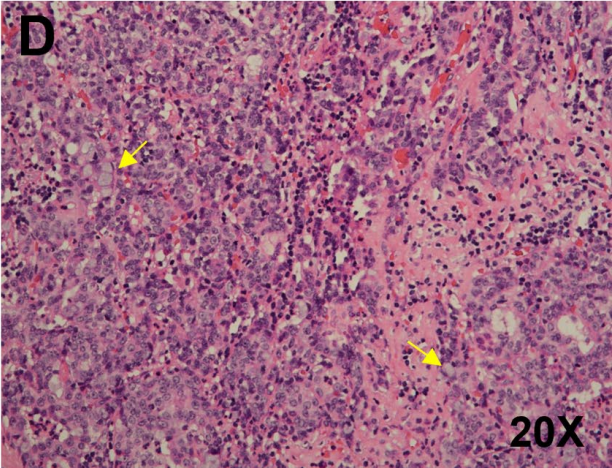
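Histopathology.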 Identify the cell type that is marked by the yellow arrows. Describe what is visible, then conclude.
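Mucous cells. Arrowed cells have pale, clear cytoplasm among darker-staining tumour cells.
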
